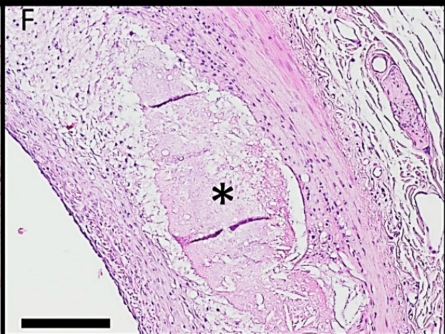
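Fibroatheroma in the vessel wall, lumen at left. The centre holds a pale, largely acellular necrotic core of amorphous, finely vacuolated material crossed by dark linear clefts. Between core and lumen lies a fibrous cap, a band of pink tissue with elongated spindle-shaped cells and flattened nuclei. Outside the core, layers of elongated cells run parallel to the wall, and at the right the loose outer tissue contains small vessels. Nuclei are sparse within the core and more frequent in the cap and outer layers.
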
